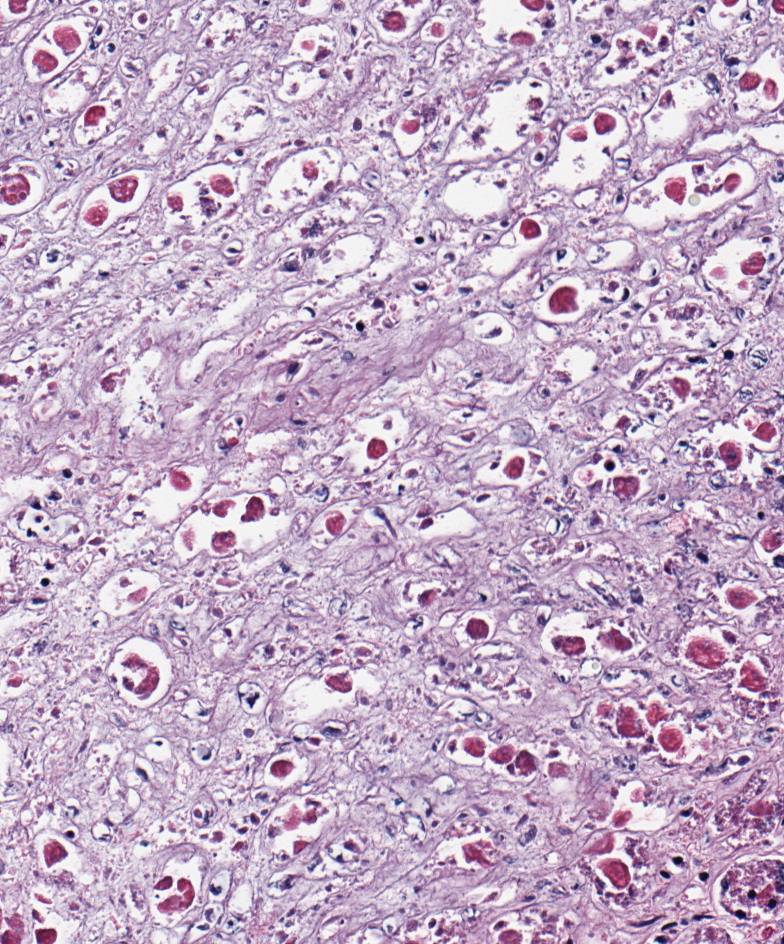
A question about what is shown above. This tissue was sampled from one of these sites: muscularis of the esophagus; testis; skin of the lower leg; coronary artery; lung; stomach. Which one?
stomach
